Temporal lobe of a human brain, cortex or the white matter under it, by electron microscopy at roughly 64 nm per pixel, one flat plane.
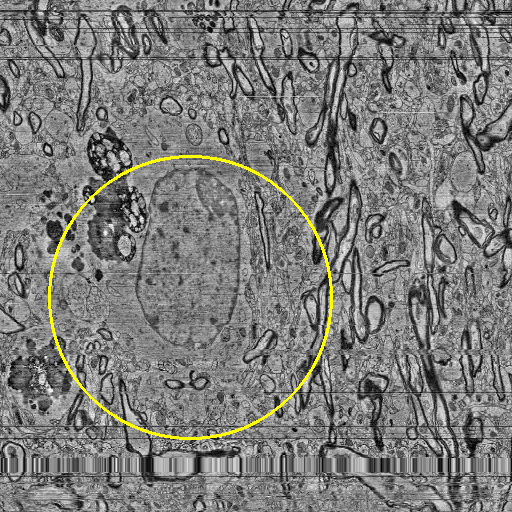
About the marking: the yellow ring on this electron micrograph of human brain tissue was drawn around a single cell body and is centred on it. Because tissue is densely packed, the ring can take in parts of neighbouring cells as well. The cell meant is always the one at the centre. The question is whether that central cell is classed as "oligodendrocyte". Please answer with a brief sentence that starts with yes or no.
No, the central cell belongs to another class.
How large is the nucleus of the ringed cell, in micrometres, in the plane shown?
Approximately 12 micrometres long and 7 micrometres wide, so clearly longer than it is wide in this plane.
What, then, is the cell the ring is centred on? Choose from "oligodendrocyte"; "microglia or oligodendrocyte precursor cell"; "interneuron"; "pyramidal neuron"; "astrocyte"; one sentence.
It is an astrocyte at the centre of the ring.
